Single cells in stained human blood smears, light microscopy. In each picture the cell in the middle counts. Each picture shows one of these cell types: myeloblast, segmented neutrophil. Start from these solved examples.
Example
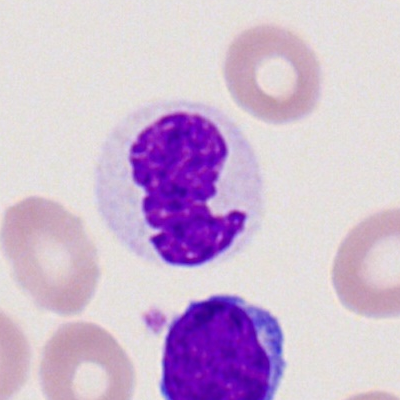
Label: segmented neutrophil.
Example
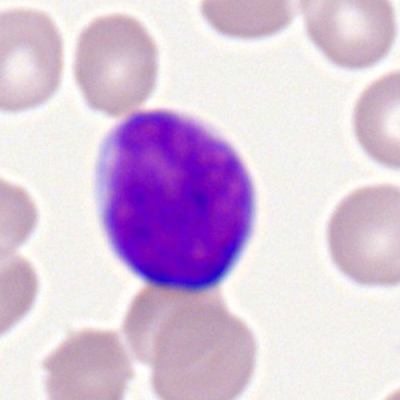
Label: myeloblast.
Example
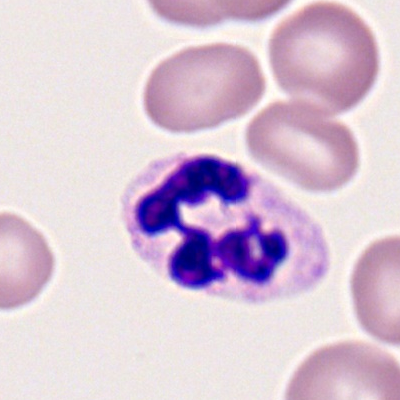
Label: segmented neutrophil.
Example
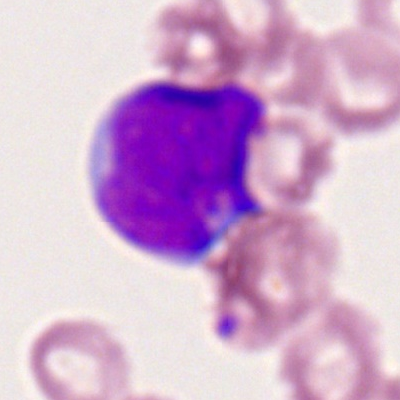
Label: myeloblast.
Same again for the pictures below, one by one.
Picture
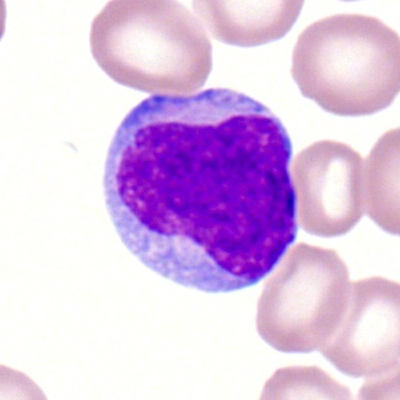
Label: myeloblast.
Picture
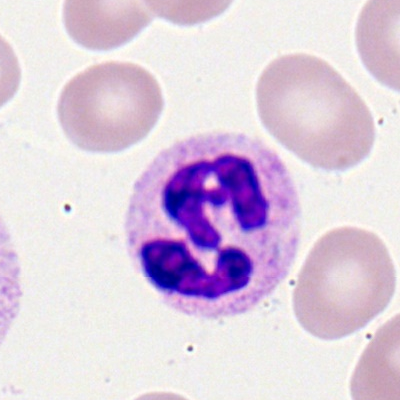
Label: segmented neutrophil.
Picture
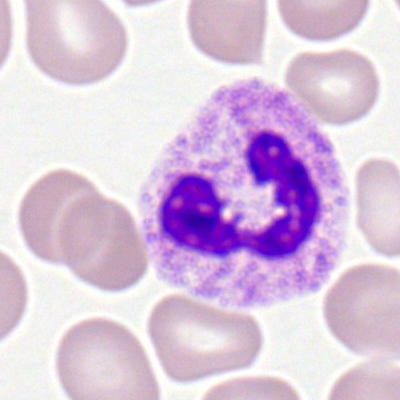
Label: segmented neutrophil.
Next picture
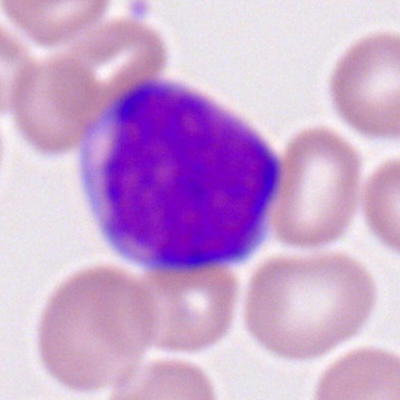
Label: myeloblast.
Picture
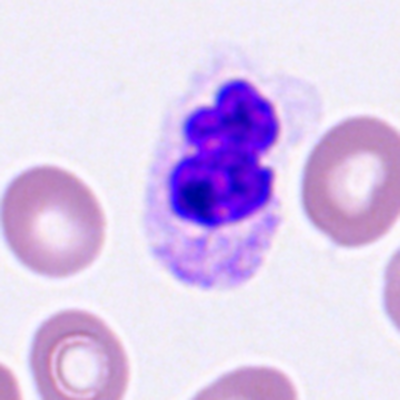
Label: segmented neutrophil.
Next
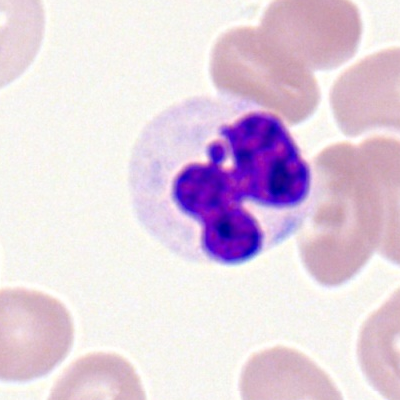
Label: segmented neutrophil.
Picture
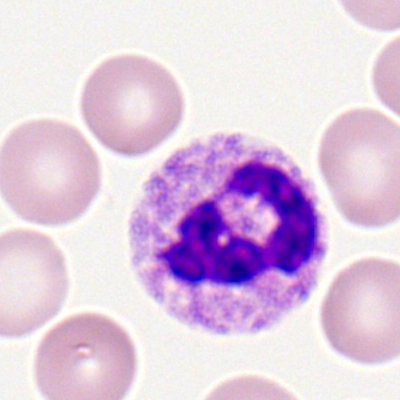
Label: segmented neutrophil.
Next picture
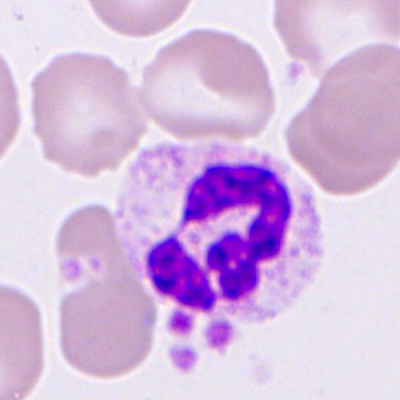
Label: segmented neutrophil.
